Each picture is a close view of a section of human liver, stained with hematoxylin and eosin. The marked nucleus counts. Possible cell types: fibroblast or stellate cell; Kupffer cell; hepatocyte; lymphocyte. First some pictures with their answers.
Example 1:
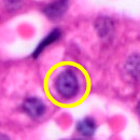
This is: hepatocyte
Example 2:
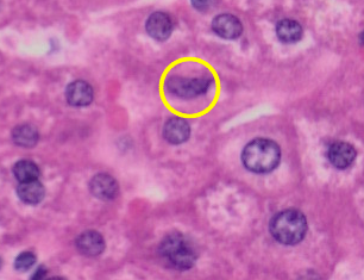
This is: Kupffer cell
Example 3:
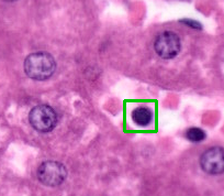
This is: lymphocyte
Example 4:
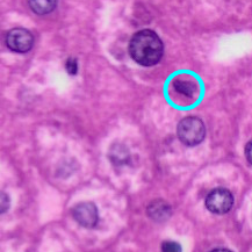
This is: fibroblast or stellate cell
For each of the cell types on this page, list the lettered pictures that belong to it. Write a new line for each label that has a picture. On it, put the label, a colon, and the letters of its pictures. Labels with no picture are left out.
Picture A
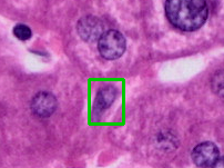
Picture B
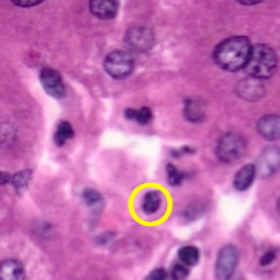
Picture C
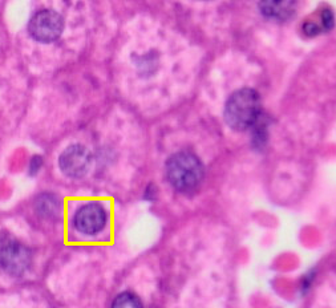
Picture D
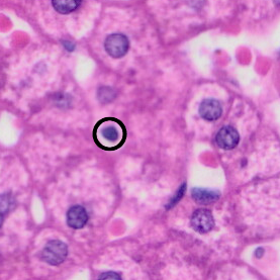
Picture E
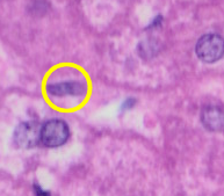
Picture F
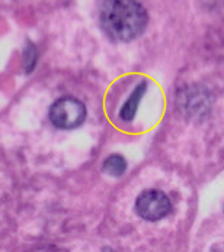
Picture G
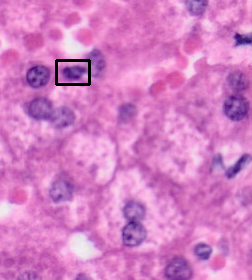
fibroblast or stellate cell: G
Kupffer cell: A, E
hepatocyte: C
lymphocyte: B, D, F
